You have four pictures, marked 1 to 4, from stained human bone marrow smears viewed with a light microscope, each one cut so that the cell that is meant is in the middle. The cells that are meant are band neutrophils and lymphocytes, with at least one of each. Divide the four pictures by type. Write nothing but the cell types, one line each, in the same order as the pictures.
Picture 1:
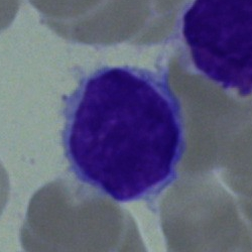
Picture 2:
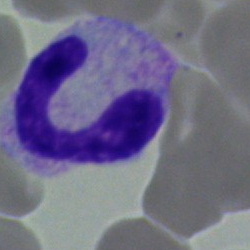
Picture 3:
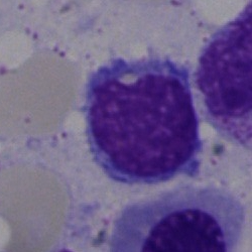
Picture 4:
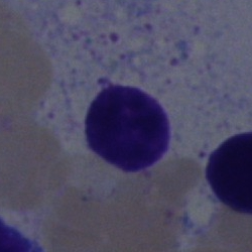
lymphocyte
band neutrophil
lymphocyte
lymphocyte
